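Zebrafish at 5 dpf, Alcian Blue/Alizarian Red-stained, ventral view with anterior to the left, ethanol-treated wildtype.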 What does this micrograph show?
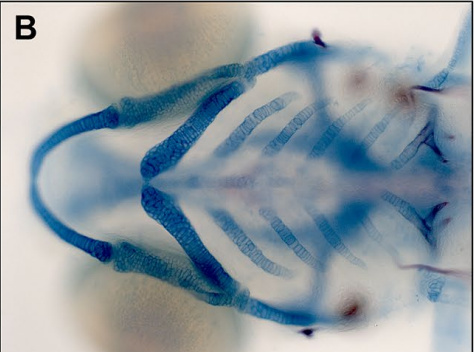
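This is the head skeleton of a young zebrafish seen from below, with blue-stained rods arranged symmetrically around the midline. At the front a U-shaped element curves around the mouth, and behind it a V-shaped pair of rods meets at the midline, followed by a series of thinner paired bars running backward on each side. A few small dark red-brown spots lie near the back and sides of the skeleton. The overall pattern of paired elements is intact and bilaterally symmetric.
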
